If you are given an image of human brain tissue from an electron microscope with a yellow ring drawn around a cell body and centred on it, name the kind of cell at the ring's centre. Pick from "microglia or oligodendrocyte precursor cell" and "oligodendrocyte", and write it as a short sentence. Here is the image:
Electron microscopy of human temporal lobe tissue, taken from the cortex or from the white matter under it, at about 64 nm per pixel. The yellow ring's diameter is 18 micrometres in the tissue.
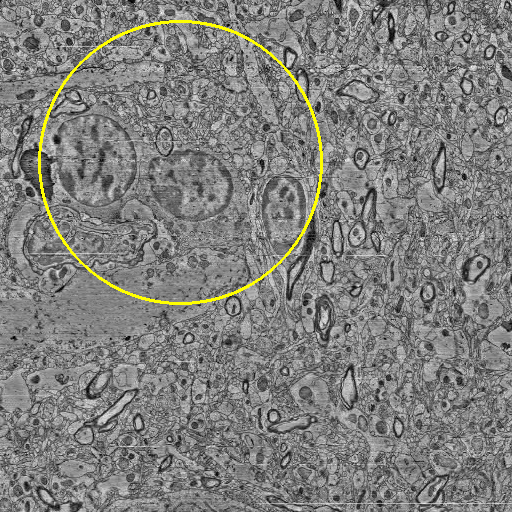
The cell at the ring's centre is an oligodendrocyte.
